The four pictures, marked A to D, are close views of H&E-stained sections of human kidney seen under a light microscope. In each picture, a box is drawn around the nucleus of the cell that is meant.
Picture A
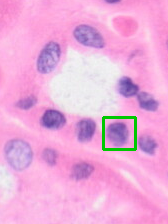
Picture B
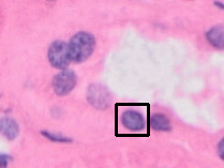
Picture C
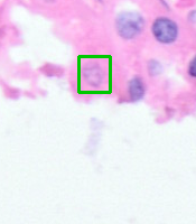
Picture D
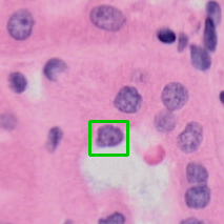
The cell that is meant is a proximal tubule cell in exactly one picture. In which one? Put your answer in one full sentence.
It is picture C that shows the proximal tubule cell.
